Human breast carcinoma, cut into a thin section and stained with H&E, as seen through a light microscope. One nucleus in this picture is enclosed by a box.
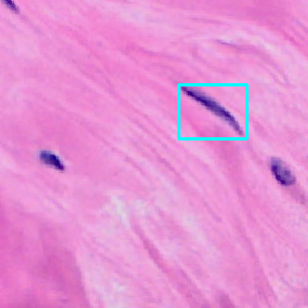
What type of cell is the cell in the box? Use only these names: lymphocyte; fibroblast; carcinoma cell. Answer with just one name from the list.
fibroblast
